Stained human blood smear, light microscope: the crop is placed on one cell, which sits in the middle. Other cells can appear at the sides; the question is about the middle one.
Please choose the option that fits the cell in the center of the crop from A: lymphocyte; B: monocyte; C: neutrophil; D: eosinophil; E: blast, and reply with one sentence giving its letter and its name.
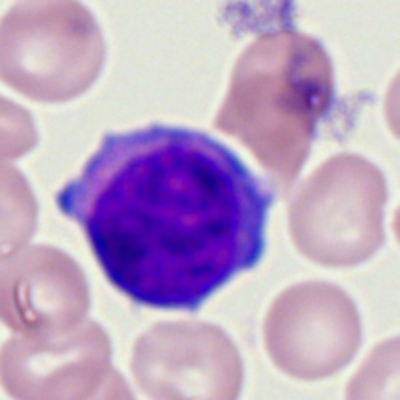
The middle of the crop holds a blast, which points to option E.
